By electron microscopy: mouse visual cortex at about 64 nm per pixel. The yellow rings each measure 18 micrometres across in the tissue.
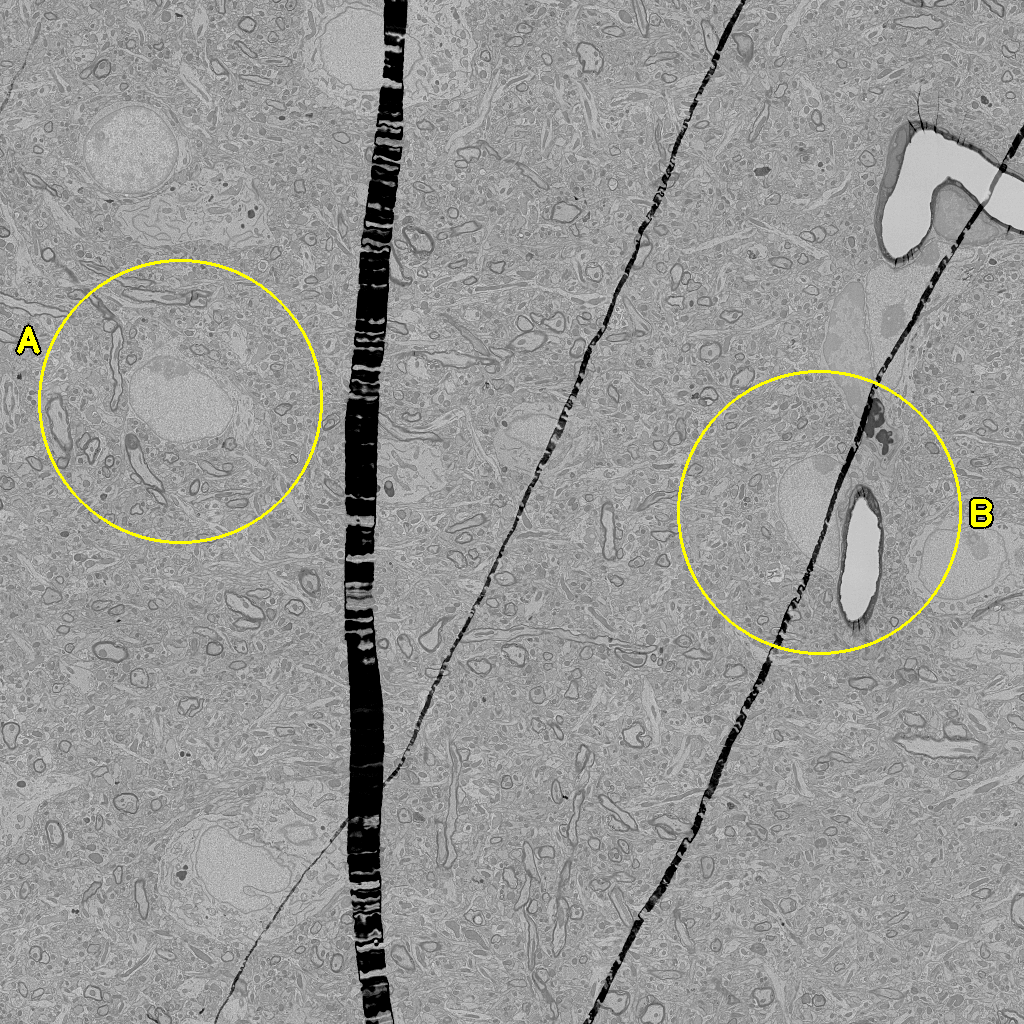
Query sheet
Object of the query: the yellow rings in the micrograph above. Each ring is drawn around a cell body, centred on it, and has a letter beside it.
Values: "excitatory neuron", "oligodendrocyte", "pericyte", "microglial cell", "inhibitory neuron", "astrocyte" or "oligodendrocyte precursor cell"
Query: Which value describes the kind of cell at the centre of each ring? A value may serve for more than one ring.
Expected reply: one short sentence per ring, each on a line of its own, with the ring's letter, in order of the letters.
I assign an astrocyte to ring A.
I assign an astrocyte to ring B.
